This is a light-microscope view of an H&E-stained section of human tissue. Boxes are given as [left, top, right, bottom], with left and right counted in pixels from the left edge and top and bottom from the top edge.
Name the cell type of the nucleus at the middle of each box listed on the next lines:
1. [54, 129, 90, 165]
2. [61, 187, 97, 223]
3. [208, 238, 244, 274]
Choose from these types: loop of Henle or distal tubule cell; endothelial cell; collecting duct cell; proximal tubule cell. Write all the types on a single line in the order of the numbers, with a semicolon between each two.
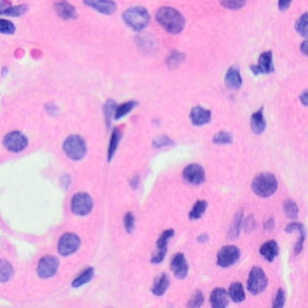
loop of Henle or distal tubule cell; loop of Henle or distal tubule cell; collecting duct cell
